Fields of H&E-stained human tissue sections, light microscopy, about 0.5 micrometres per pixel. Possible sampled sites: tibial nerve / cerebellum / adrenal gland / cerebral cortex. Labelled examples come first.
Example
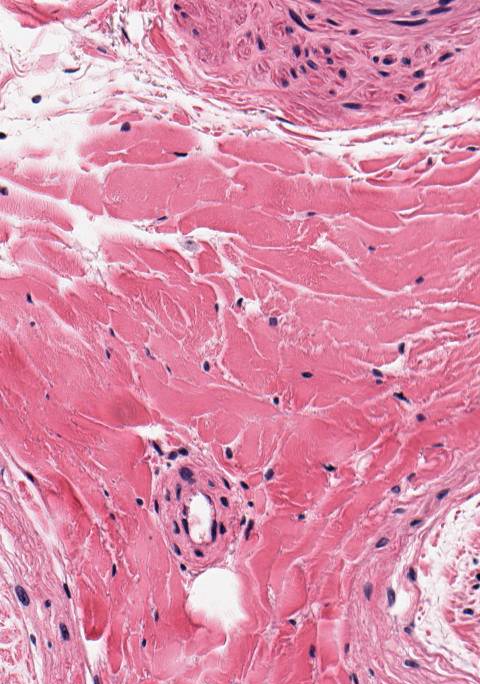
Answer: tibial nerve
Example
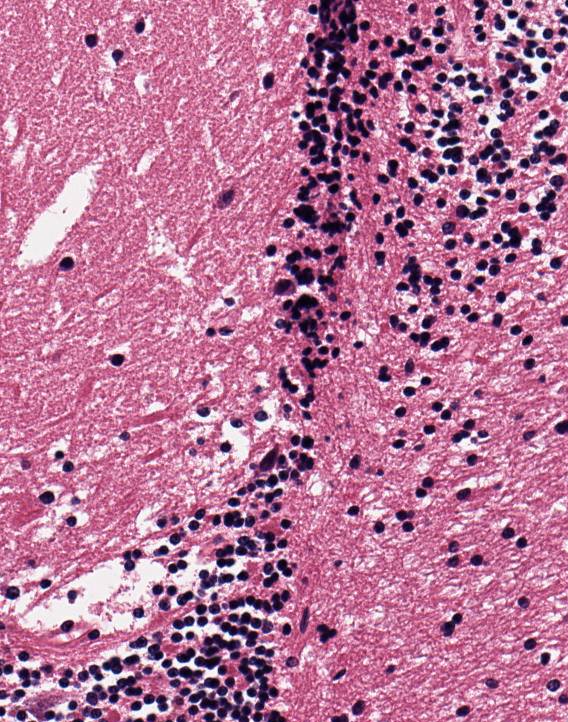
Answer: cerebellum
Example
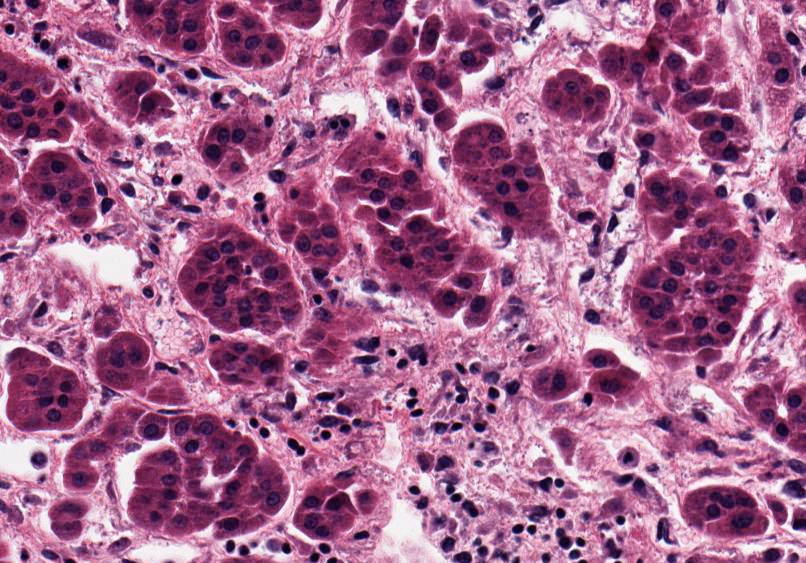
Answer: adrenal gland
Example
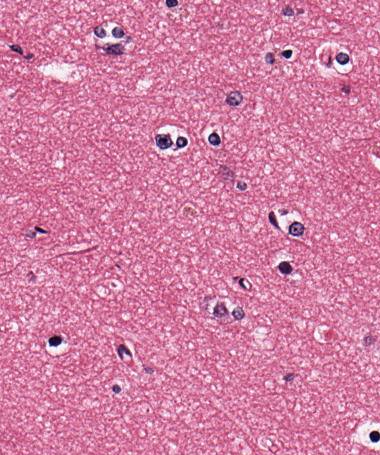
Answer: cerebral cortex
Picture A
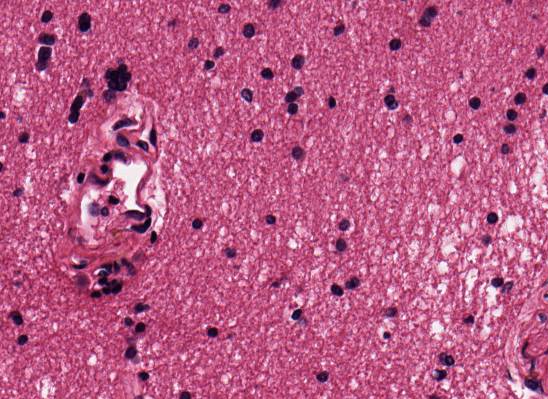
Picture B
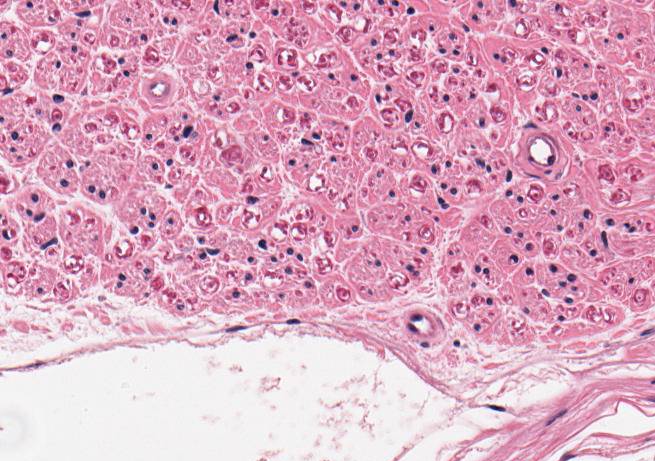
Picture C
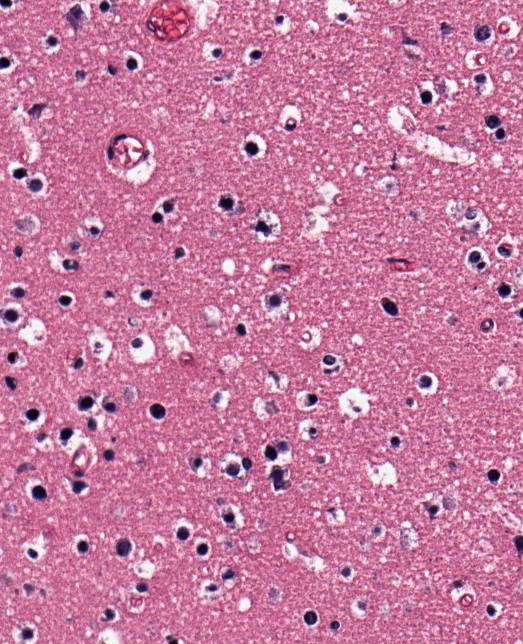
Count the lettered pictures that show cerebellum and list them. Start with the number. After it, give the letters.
0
